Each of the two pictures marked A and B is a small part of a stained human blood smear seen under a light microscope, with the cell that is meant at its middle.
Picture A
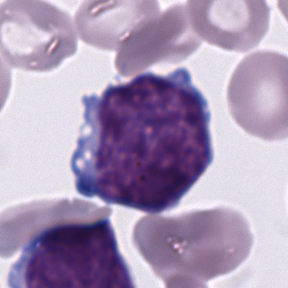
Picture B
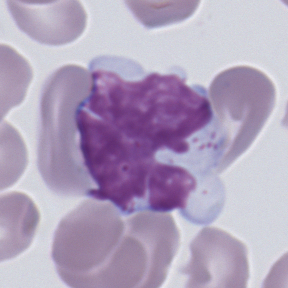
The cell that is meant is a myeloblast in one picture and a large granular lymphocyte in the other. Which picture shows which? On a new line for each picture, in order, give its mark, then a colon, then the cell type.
A: myeloblast
B: large granular lymphocyte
